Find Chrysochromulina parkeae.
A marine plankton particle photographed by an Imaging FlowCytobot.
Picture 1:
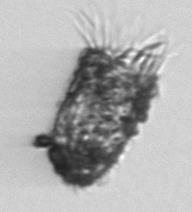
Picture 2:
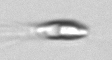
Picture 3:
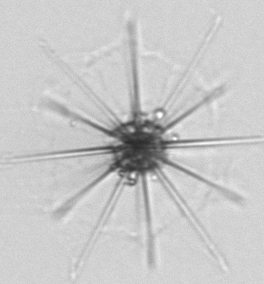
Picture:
2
